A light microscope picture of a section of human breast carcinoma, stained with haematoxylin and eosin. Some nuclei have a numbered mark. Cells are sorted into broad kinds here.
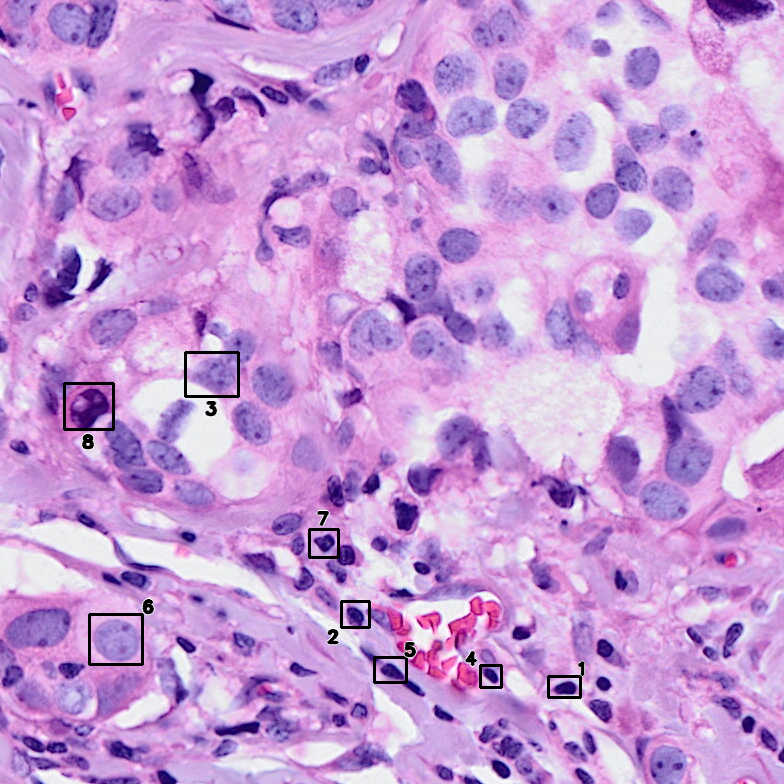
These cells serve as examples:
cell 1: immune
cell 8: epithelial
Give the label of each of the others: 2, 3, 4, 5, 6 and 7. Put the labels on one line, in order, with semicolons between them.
immune; epithelial; immune; immune; epithelial; immune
